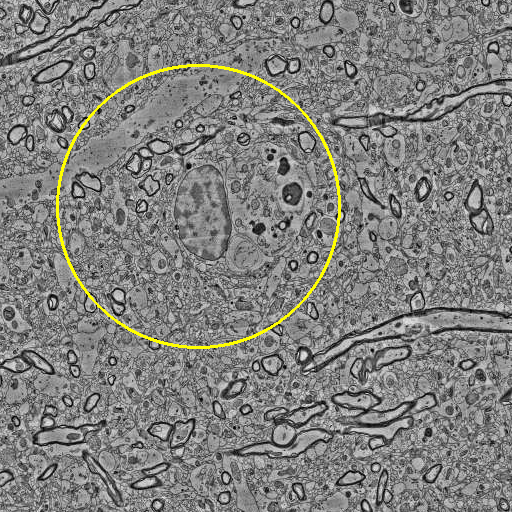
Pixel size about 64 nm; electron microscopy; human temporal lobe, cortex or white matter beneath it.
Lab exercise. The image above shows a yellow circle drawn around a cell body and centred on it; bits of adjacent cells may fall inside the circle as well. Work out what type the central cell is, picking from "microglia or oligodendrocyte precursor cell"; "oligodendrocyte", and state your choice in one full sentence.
In the image above, the cell at the centre of the yellow circle is a microglial cell or oligodendrocyte precursor cell.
